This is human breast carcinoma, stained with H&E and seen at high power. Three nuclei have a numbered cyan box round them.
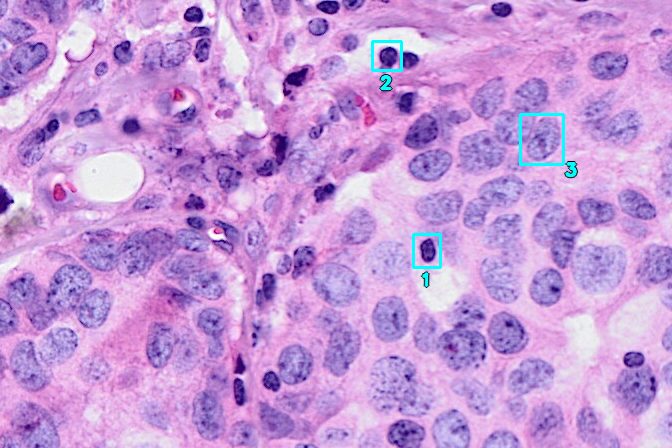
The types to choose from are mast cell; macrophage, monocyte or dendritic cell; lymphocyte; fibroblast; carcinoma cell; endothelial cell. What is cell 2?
lymphocyte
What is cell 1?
lymphocyte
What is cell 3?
carcinoma cell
